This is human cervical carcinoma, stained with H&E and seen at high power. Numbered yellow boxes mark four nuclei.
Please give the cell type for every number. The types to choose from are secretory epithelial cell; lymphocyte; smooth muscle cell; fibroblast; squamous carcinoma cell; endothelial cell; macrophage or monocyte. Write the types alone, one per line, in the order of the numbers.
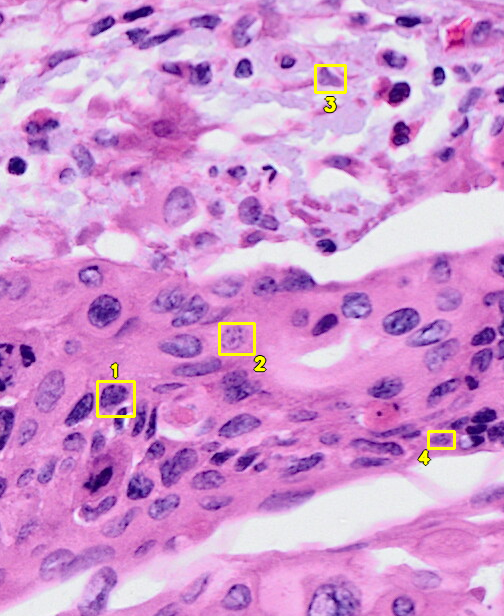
squamous carcinoma cell
squamous carcinoma cell
fibroblast
squamous carcinoma cell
